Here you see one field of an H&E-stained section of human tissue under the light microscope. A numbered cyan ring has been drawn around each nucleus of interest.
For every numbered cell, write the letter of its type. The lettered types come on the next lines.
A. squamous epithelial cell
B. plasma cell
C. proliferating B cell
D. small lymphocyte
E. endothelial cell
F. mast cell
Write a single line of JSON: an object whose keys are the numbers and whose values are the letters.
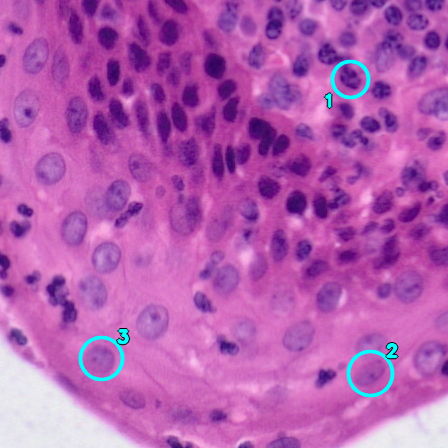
{"1": "B", "2": "A", "3": "A"}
